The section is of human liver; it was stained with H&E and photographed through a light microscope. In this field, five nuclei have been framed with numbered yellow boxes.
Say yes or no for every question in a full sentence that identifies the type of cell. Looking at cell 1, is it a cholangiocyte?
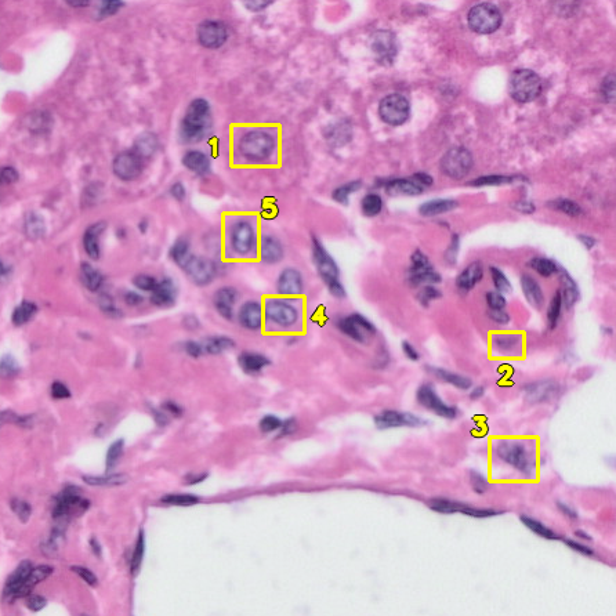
No, it is a hepatocyte, rather than a cholangiocyte, that carries number 1.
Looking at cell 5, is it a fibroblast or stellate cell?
No, the cell labelled number 5 is not a fibroblast or stellate cell; it is a cholangiocyte.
